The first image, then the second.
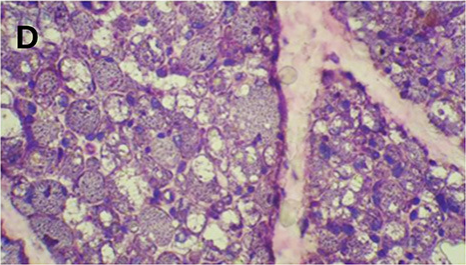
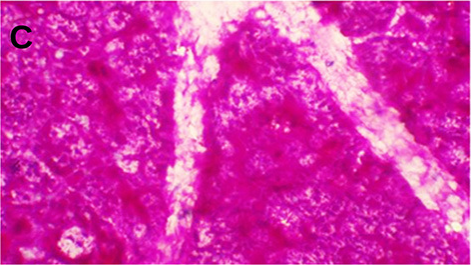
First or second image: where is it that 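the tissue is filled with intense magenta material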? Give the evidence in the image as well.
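The second image. First image: tissue is pale purple-grey with clear vacuoles and no intense magenta. Second image: tissue is densely stained deep magenta throughout.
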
